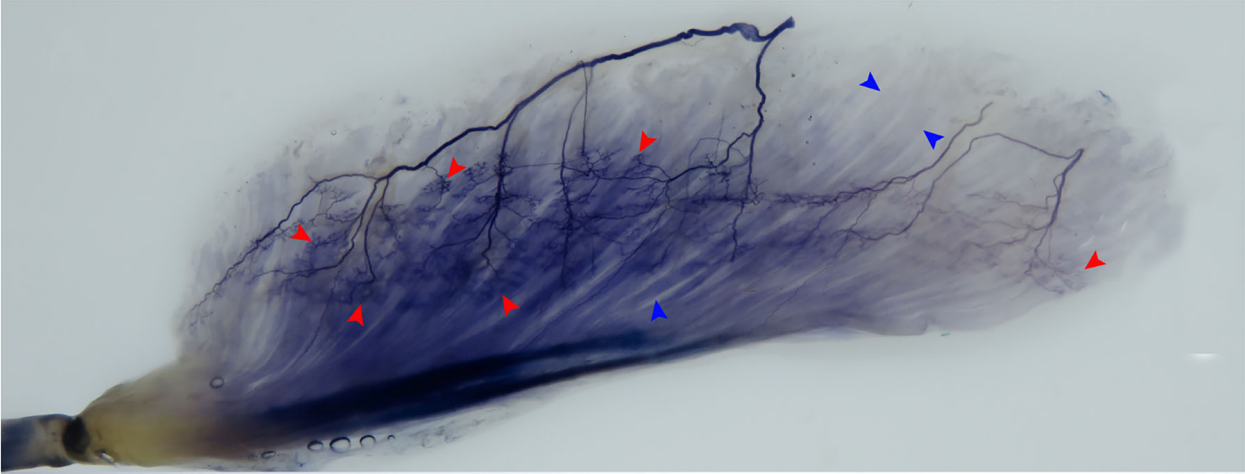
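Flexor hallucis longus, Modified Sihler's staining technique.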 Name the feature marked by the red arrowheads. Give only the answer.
Terminal nerve.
